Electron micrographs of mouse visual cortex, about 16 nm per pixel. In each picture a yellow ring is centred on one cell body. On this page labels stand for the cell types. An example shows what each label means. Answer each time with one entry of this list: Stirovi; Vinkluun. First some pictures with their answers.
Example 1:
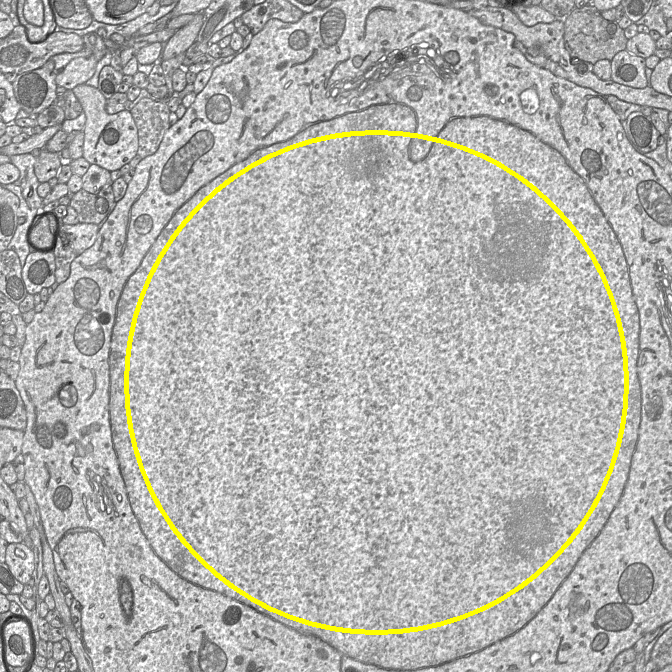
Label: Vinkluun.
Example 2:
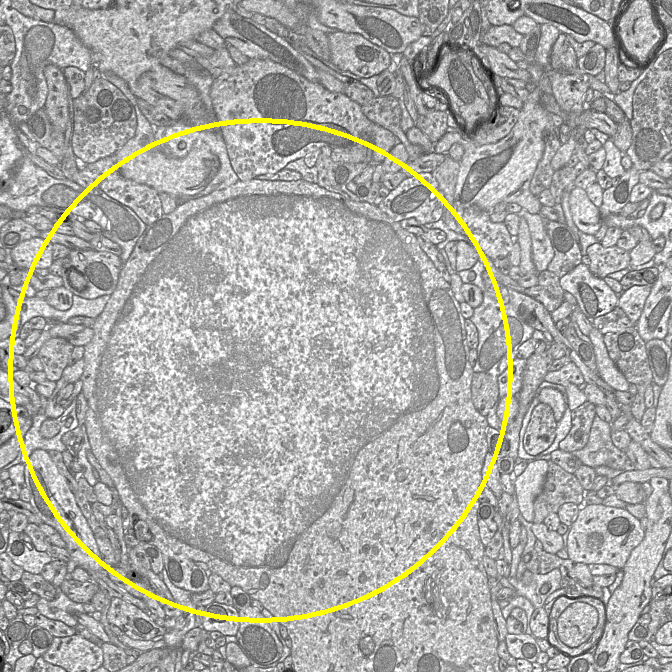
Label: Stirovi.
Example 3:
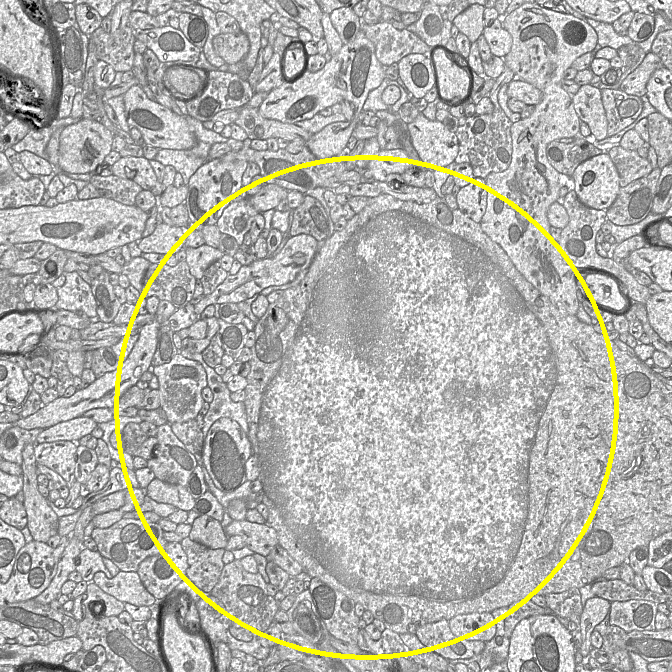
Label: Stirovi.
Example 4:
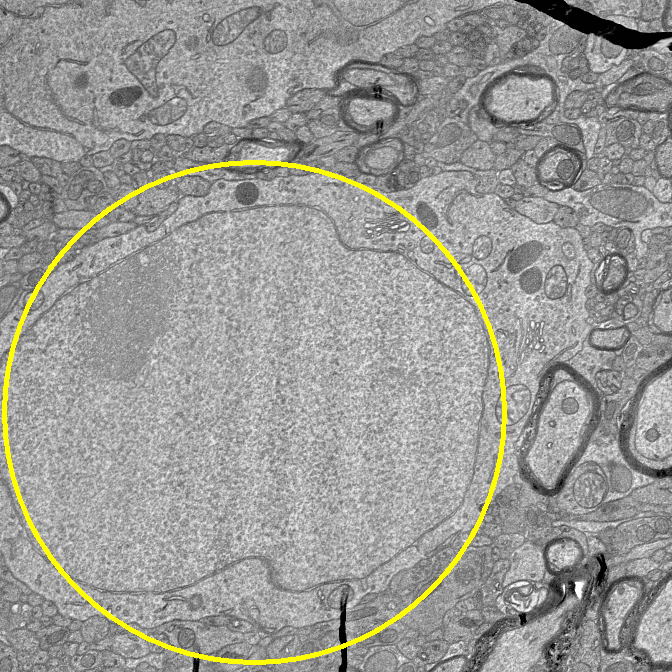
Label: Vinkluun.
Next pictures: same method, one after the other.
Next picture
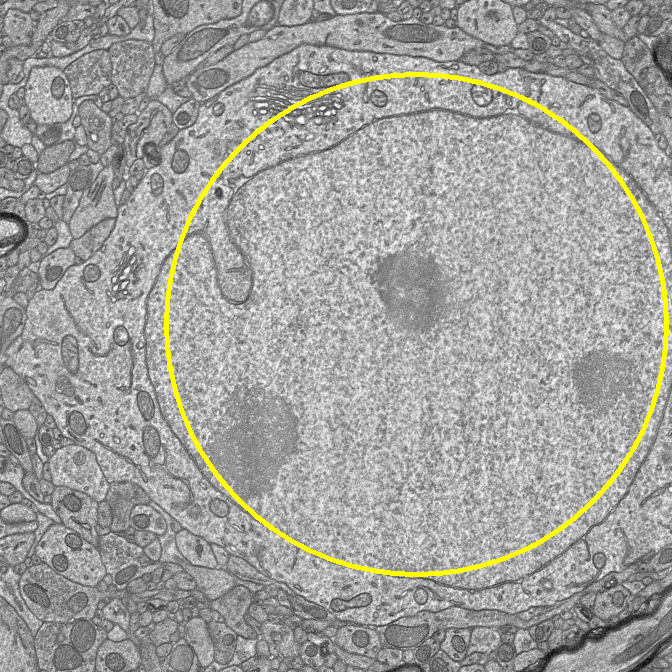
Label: Vinkluun.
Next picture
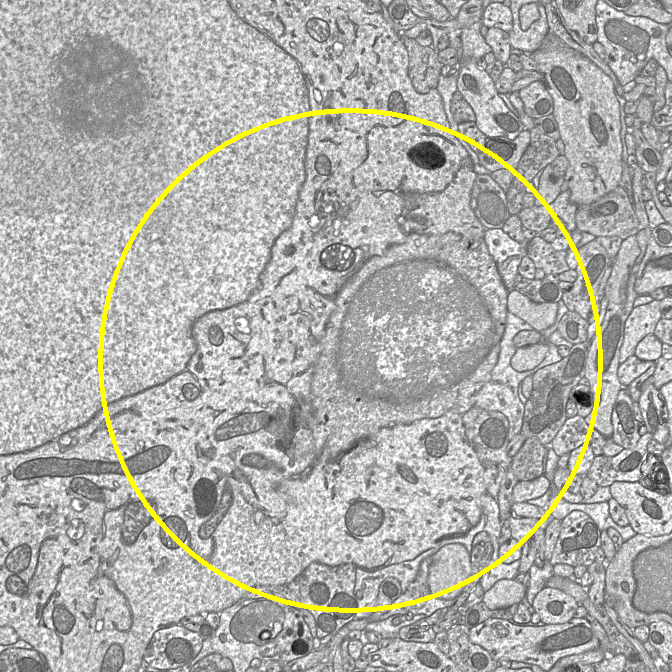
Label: Stirovi.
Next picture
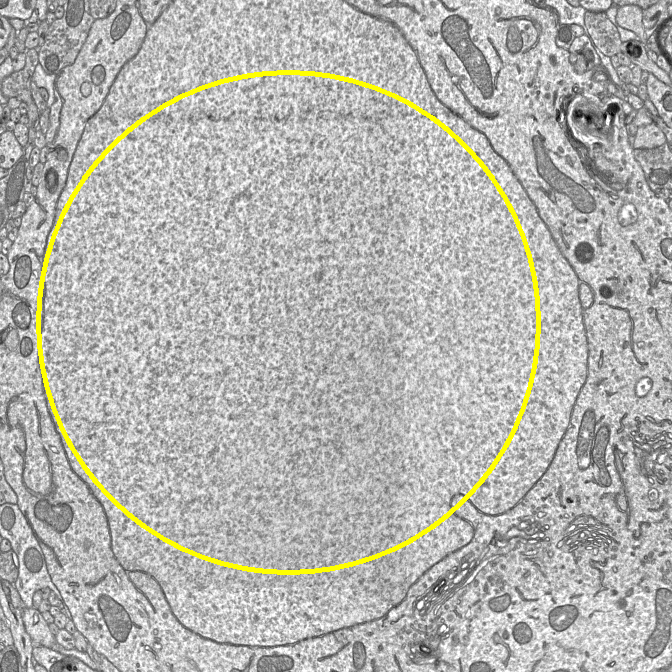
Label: Vinkluun.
